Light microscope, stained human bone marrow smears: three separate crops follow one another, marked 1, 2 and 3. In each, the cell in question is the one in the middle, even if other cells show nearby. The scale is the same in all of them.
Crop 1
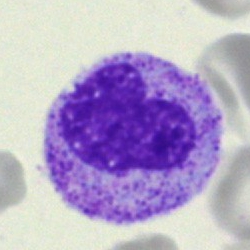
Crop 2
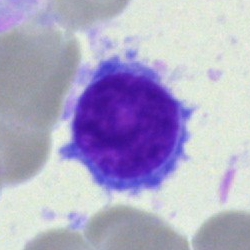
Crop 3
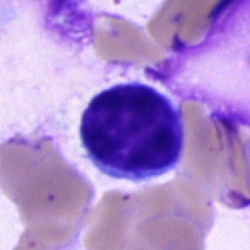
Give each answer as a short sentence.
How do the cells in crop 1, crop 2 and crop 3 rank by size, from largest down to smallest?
The order is 1, 2, 3, beginning with the largest.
